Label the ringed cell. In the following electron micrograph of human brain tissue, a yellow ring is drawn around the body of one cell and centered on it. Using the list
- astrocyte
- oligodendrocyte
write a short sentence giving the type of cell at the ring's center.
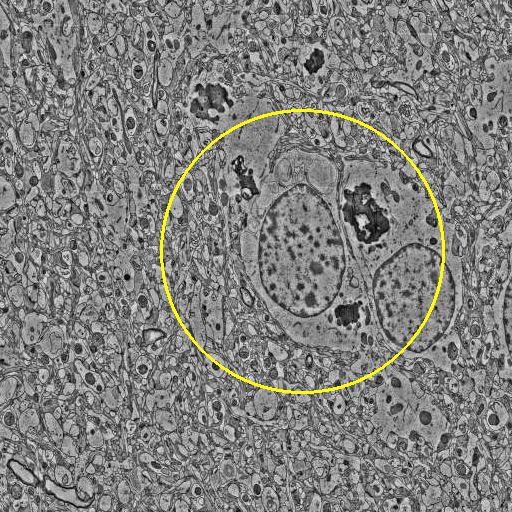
The cell body at the ring's center is that of an astrocyte.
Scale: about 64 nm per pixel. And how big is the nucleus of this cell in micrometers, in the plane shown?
The ringed cell's nucleus is roughly 8 by 5 micrometres and clearly longer than it is wide in this plane.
